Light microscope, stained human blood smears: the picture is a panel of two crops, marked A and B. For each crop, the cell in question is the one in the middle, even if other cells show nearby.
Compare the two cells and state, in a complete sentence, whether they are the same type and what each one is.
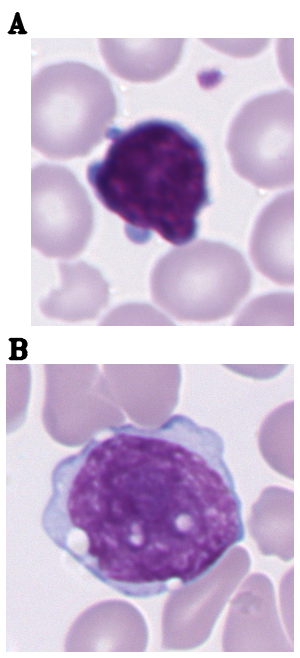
No, in crop B the central cell is a myeloblast, and in crop A it is a typical lymphocyte.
